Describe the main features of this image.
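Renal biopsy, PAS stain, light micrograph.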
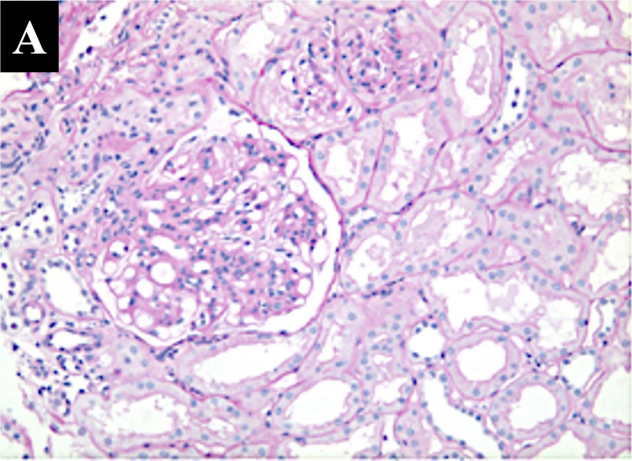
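This is kidney cortex with a glomerulus surrounded by tubules. The glomerular tuft is large and hypercellular, with many crowded dark nuclei in the stalks between the capillary loops, and pale vacuolated spaces in part of the tuft. A thin magenta-outlined capsule encloses the tuft, leaving a narrow urinary space. The surrounding tubules are lined by cuboidal epithelium with round nuclei and pale cytoplasm, resting on magenta basement membranes, and several tubular lumens are wide. A second, smaller glomerulus is seen at the upper edge.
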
